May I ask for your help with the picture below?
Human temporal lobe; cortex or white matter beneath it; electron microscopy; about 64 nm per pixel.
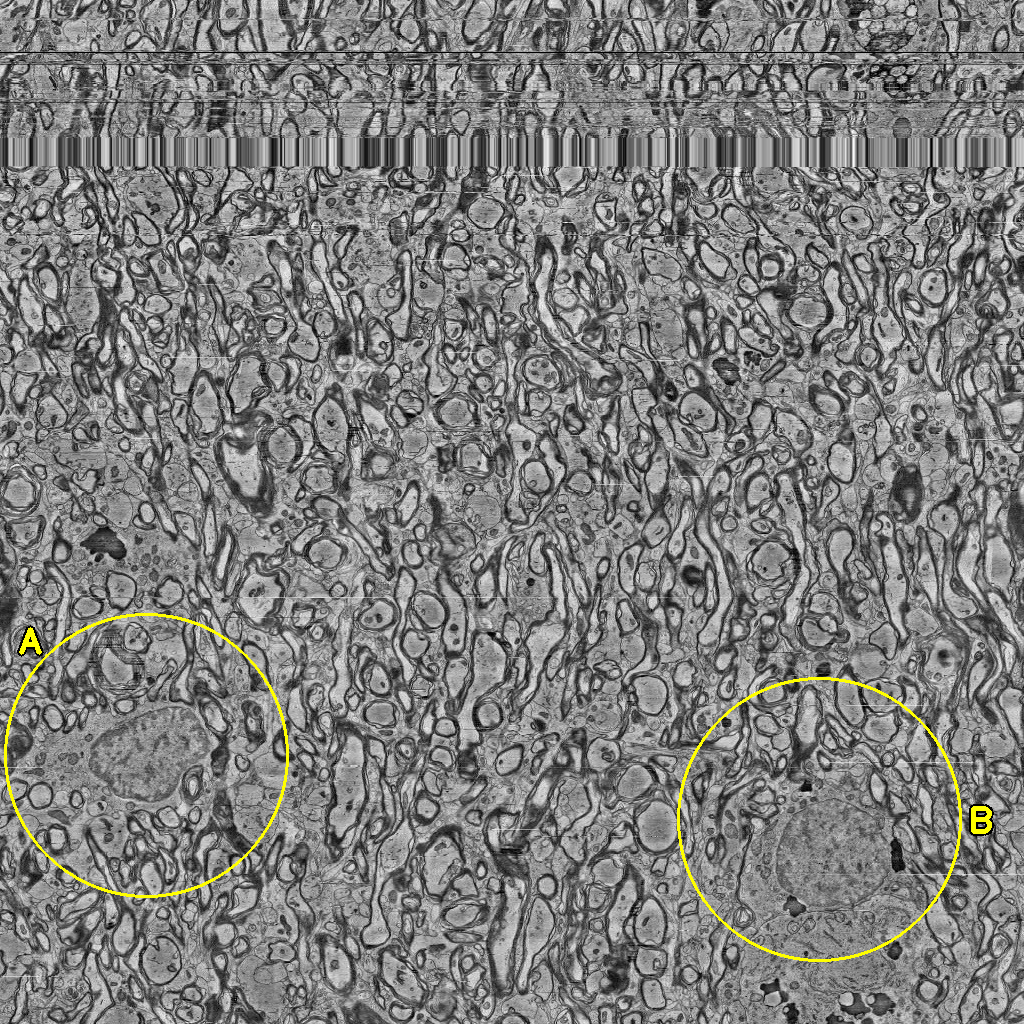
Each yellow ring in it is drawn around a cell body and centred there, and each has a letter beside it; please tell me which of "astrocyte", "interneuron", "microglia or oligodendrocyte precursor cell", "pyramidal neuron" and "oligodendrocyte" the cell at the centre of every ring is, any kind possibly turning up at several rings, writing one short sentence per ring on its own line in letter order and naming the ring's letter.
Ring A is drawn around the cell body of an oligodendrocyte.
Ring B is drawn around the cell body of an oligodendrocyte.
